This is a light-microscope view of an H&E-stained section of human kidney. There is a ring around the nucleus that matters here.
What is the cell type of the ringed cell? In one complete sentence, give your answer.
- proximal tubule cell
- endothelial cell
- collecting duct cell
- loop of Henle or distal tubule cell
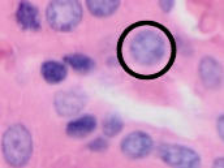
Recorded by type, the ringed cell is a collecting duct cell.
